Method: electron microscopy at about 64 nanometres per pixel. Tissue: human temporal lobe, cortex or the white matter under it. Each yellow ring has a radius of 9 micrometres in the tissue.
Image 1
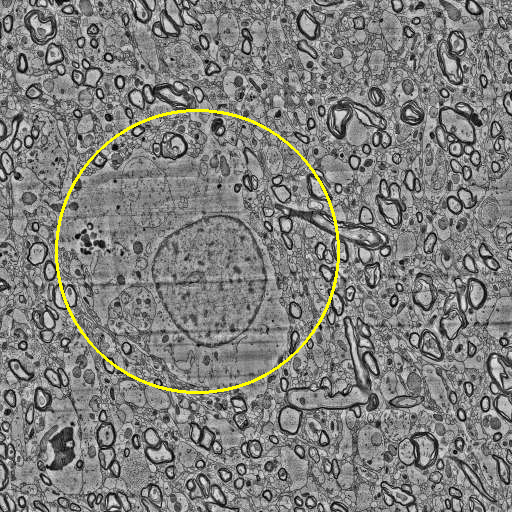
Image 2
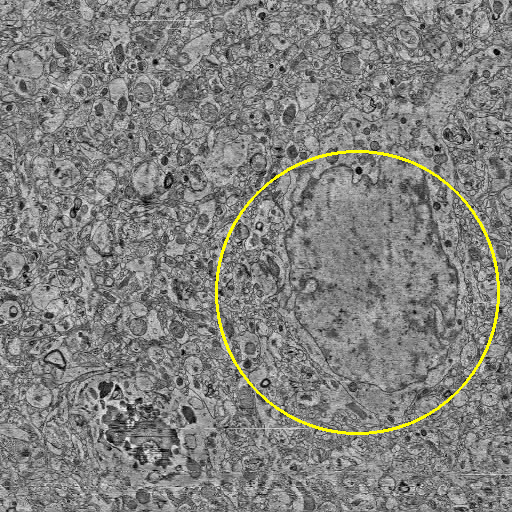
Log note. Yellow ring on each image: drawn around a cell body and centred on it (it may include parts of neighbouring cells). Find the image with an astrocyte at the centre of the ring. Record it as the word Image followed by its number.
Image 1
